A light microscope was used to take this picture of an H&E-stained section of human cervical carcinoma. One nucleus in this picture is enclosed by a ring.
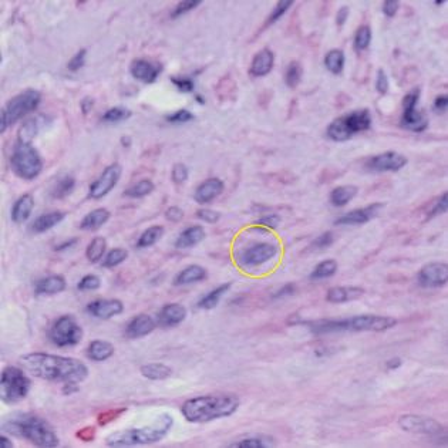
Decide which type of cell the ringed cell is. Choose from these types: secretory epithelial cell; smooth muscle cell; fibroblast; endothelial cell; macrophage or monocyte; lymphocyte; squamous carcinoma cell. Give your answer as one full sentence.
The ringed cell appears to be a smooth muscle cell.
